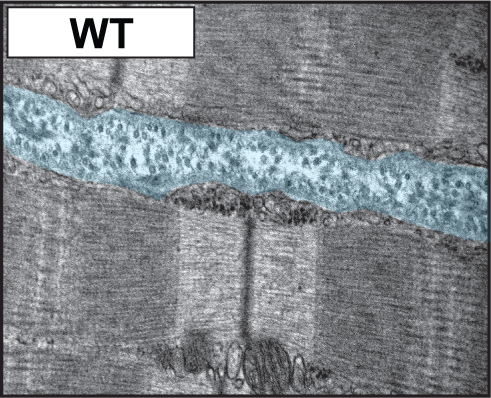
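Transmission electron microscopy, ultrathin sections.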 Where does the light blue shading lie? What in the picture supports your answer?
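Endomysial area. The shaded band runs between two striated muscle fibers. The band lacks sarcomere striations.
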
